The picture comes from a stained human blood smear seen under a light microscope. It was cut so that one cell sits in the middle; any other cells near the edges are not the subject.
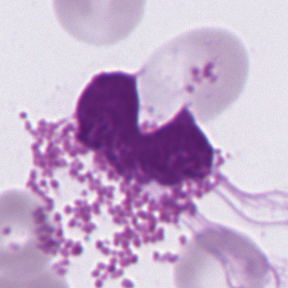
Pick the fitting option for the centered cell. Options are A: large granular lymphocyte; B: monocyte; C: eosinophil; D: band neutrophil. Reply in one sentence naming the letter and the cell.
Answer key: option C, the middle cell being an eosinophil.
